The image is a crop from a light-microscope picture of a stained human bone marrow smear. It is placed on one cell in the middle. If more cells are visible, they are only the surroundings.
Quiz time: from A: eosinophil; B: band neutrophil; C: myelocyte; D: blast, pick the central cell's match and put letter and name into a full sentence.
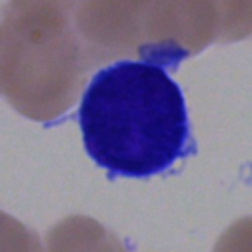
What option D states is correct, the central cell being a blast.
